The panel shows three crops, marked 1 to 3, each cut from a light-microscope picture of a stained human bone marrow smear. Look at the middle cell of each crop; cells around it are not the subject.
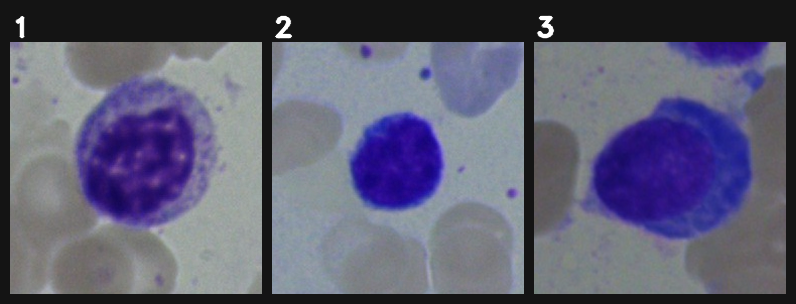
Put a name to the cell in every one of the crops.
1: myelocyte
2: lymphocyte
3: plasma cell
